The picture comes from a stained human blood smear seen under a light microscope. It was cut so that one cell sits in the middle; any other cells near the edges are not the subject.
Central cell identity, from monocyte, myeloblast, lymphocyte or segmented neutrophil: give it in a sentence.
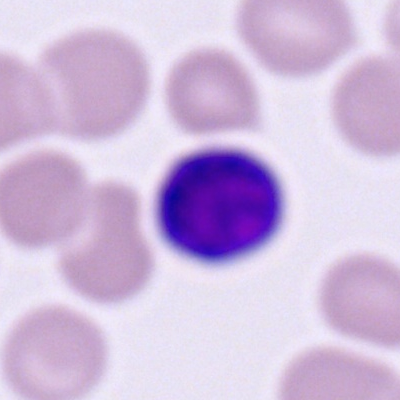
This particular crop is centered on a lymphocyte.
